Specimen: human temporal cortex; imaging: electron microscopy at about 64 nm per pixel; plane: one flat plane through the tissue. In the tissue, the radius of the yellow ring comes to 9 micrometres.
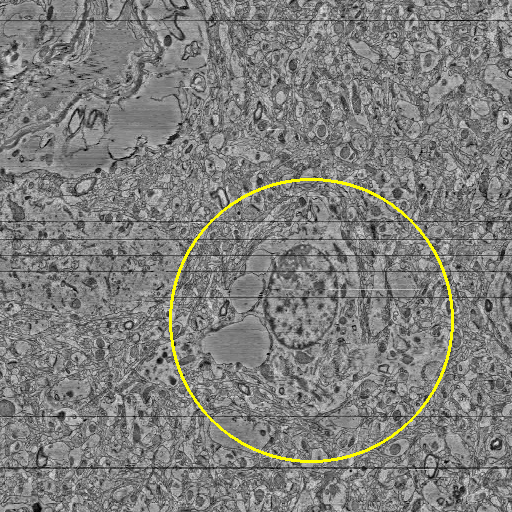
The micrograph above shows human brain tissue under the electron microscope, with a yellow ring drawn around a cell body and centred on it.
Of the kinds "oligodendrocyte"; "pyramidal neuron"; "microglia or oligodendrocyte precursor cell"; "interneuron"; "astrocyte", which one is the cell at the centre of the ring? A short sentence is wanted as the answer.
The one at the centre of the ring is an astrocyte.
